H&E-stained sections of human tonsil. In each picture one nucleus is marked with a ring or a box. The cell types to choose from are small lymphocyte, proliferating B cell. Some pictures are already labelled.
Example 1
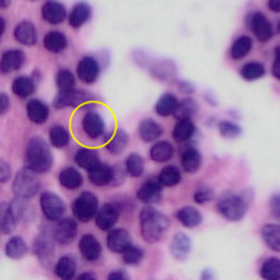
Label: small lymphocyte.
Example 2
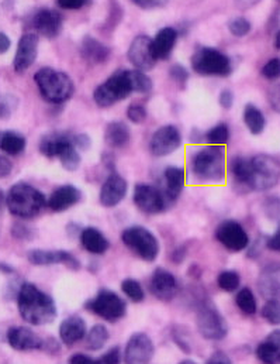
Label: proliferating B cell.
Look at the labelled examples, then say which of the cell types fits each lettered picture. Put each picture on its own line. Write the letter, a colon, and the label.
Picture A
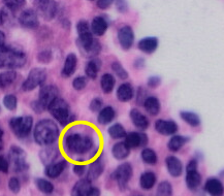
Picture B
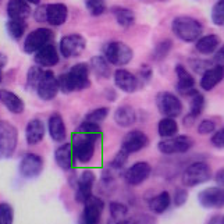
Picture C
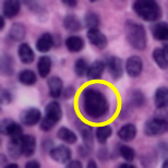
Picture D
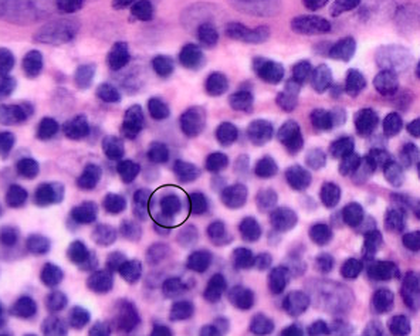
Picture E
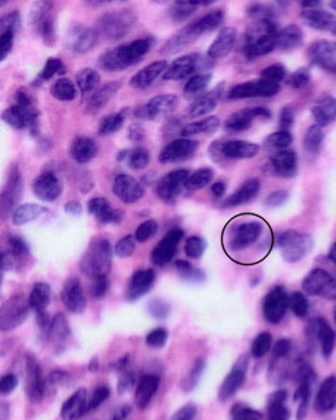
A: proliferating B cell.
B: small lymphocyte.
C: proliferating B cell.
D: small lymphocyte.
E: proliferating B cell.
